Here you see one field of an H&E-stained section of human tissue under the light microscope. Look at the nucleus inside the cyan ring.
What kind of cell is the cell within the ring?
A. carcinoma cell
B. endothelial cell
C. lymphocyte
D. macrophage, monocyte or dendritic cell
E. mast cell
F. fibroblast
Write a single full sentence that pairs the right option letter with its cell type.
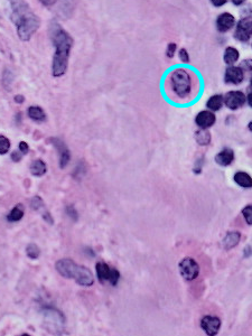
What option E states, that the cell within the ring is a mast cell, is correct.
